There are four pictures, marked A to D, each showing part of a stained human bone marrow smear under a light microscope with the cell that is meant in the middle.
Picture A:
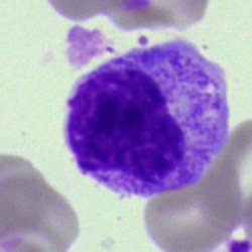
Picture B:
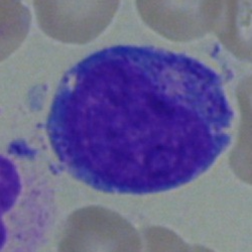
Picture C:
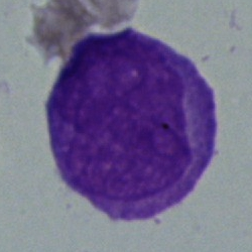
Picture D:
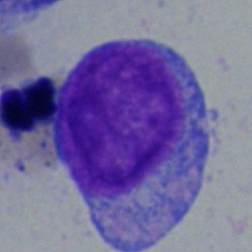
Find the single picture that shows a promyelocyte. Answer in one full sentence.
Picture B is the one that shows the promyelocyte.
